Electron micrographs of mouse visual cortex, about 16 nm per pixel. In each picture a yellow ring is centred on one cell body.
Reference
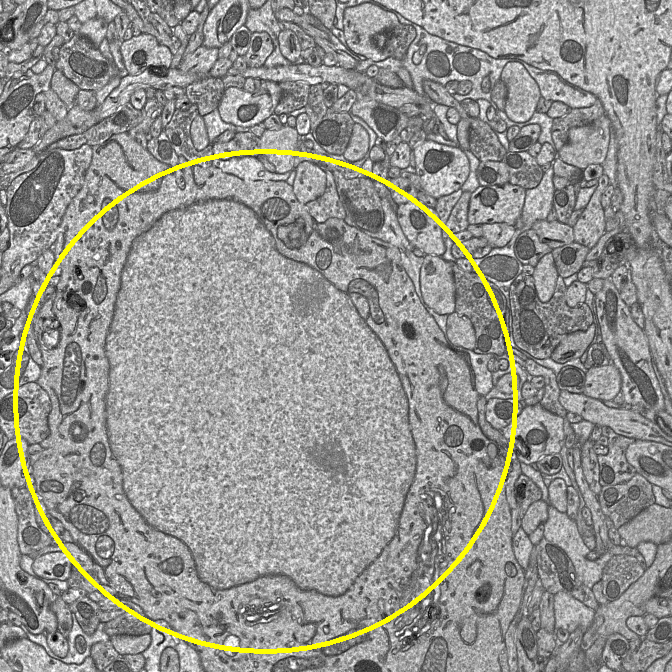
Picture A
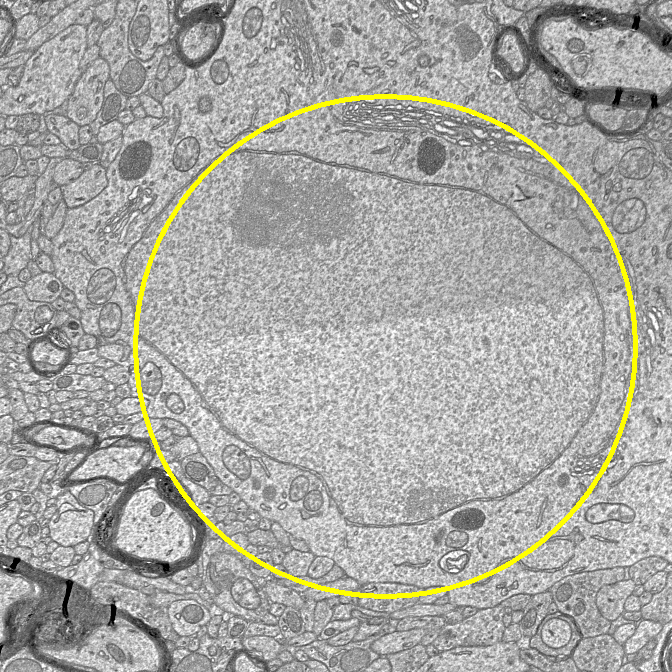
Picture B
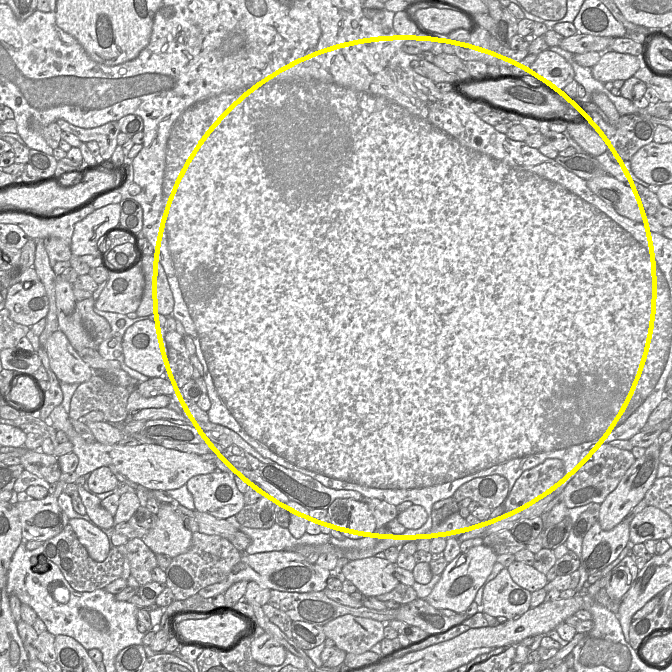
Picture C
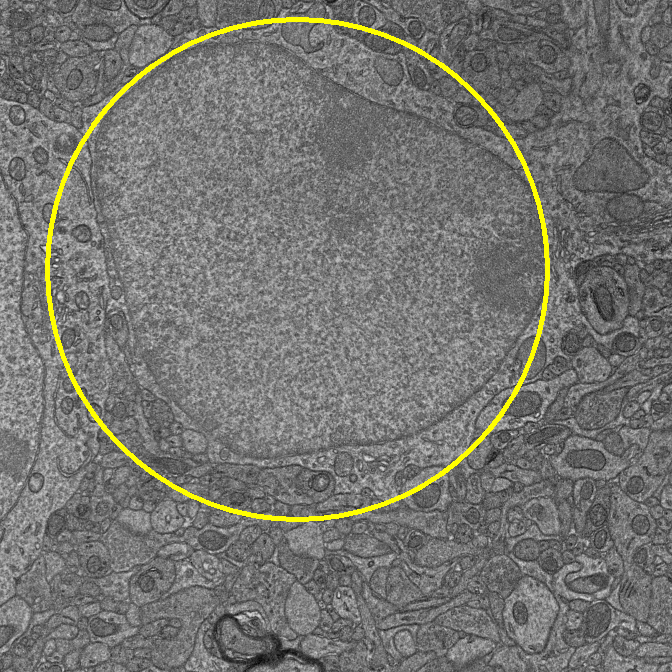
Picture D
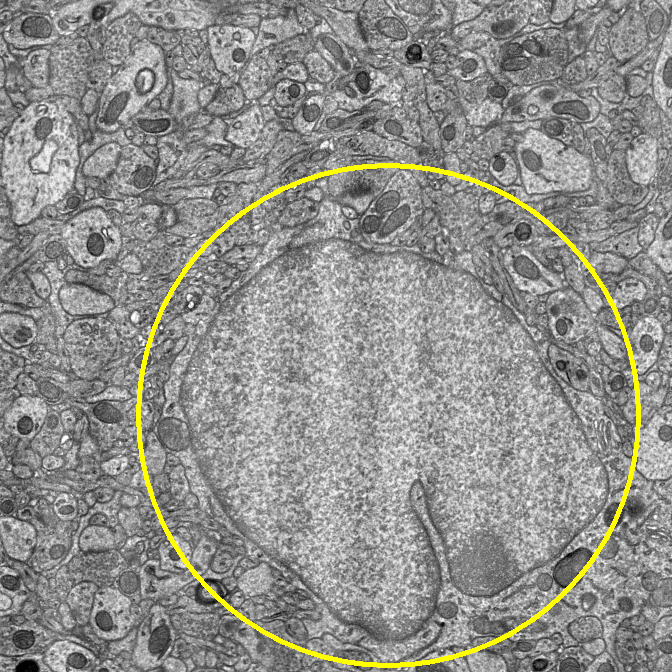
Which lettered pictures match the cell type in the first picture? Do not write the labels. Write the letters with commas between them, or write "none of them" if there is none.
A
